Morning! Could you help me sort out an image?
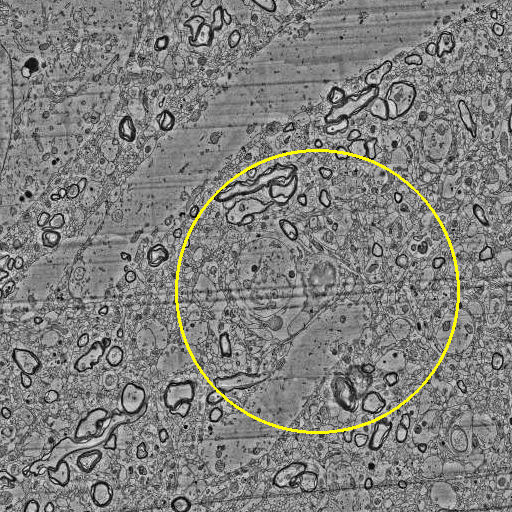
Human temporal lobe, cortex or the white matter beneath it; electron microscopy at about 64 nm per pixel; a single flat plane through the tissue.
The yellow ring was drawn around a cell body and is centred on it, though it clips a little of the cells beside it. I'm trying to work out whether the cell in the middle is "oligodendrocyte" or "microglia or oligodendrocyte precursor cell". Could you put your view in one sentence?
The ringed cell body is that of an oligodendrocyte.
